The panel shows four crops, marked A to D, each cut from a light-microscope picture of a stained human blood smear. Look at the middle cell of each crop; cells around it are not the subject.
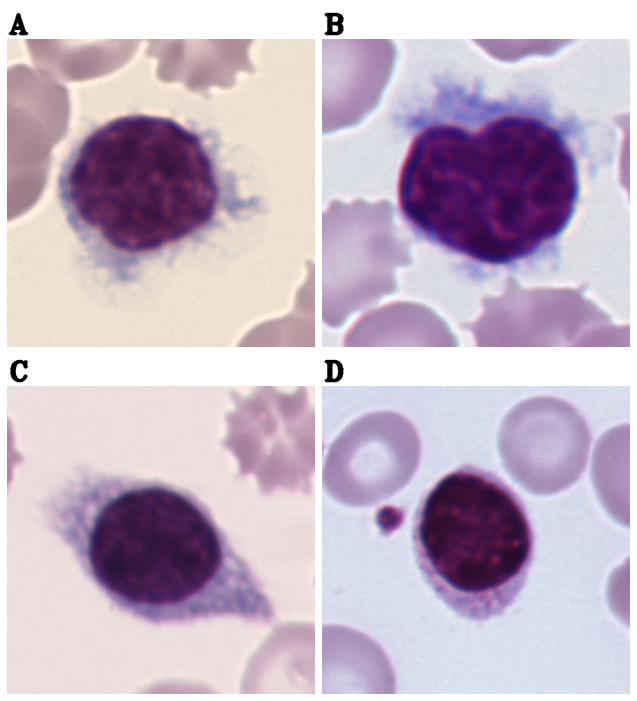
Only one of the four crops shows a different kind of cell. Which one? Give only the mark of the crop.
D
